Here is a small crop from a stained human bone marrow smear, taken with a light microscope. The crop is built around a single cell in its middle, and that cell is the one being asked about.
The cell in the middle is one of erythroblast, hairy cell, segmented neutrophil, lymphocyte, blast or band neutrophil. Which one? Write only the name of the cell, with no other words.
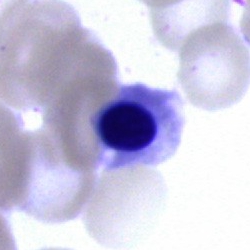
erythroblast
